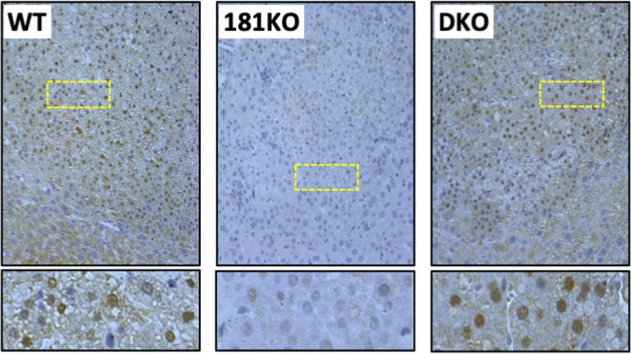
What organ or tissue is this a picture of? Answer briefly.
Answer: liver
